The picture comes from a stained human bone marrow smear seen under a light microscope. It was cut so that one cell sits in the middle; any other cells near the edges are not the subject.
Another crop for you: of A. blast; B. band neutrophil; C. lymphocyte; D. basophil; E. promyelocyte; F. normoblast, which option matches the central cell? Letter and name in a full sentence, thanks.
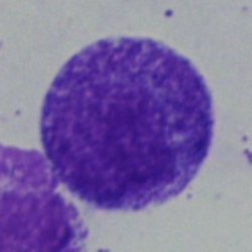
Option E gets it right: the cell in the middle is a promyelocyte.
